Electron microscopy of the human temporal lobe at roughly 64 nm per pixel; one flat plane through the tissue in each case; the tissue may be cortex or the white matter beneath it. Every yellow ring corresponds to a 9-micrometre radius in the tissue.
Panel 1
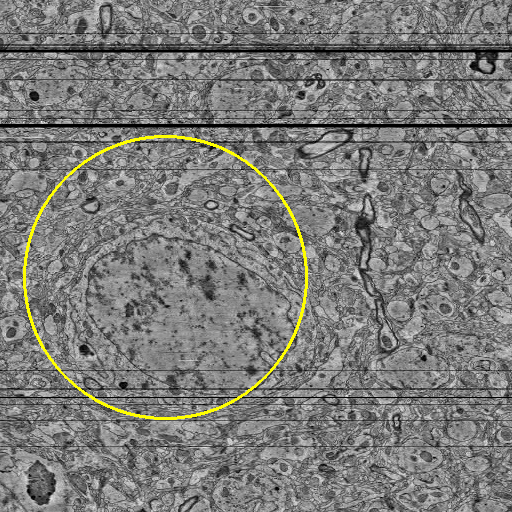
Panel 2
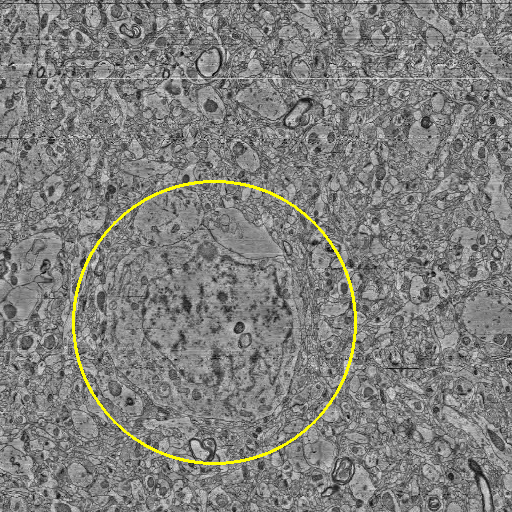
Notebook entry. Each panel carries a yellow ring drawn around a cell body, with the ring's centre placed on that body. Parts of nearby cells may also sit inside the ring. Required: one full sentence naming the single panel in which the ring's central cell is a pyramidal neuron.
Panel 1 is the single one with the sought cell at its ring's centre.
